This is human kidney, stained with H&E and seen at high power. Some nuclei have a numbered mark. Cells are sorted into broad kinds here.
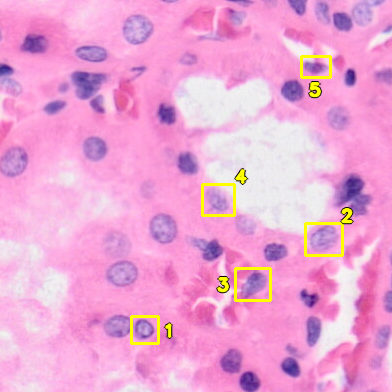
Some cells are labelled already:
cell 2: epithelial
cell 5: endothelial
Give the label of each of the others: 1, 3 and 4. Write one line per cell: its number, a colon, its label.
1: epithelial
3: endothelial
4: epithelial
